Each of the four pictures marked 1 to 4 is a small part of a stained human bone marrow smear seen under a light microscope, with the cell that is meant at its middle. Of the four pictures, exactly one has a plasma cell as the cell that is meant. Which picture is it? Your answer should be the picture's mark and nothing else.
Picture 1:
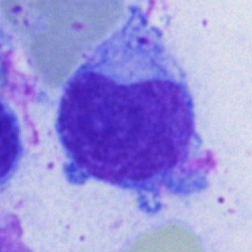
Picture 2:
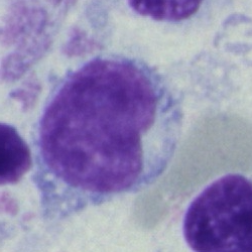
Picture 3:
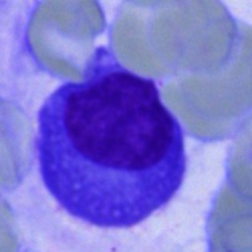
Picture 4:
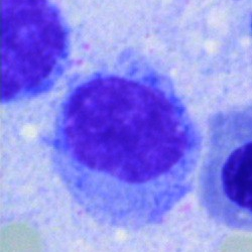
3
